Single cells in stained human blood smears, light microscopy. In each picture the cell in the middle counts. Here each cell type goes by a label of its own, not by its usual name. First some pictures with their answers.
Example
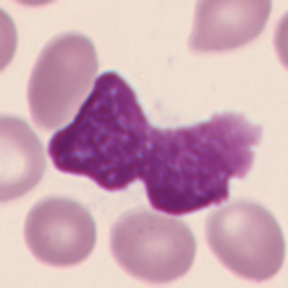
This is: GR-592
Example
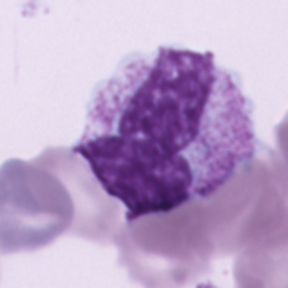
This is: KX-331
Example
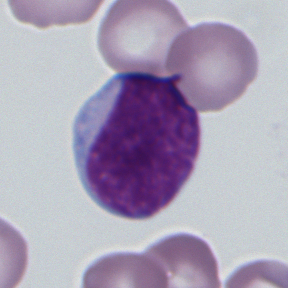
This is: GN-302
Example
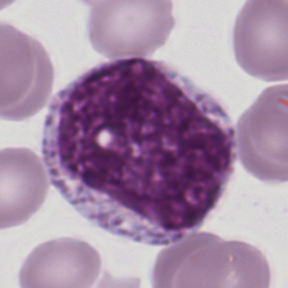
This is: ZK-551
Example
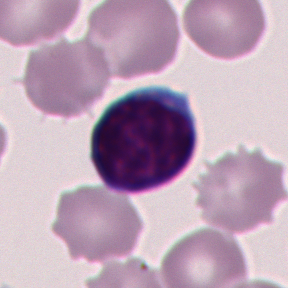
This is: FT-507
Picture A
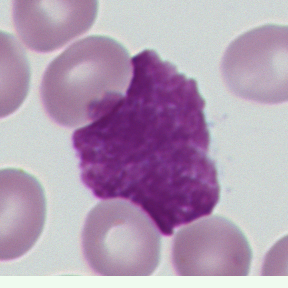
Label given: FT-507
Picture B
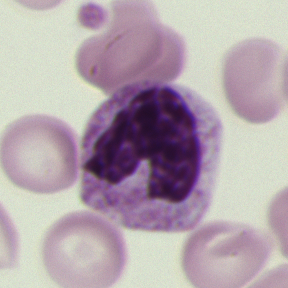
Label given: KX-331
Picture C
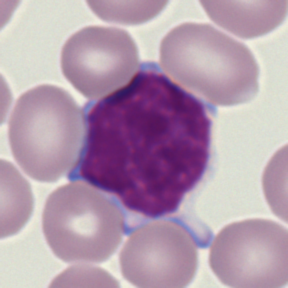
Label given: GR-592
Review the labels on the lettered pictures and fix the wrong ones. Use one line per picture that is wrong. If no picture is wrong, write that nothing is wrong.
A should be GR-592, not FT-507
C should be FT-507, not GR-592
